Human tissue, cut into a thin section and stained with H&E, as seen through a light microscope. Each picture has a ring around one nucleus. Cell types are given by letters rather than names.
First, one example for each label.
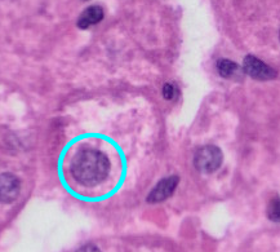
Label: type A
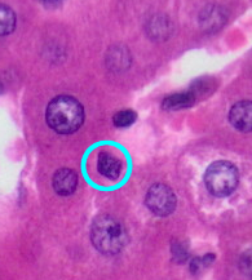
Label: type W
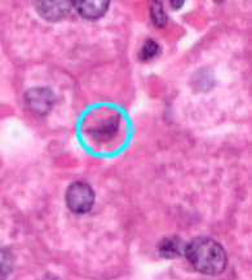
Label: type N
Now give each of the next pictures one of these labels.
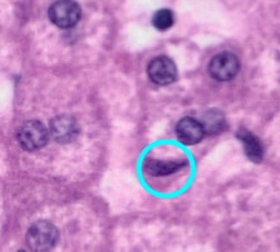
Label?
type W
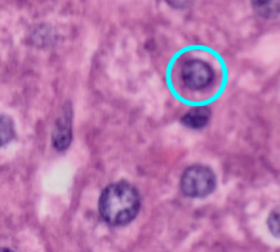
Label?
type A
